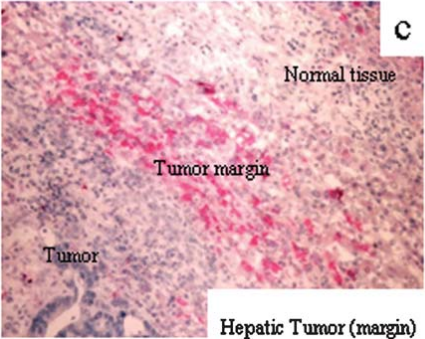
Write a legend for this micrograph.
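The tumour includes dark blue glandular epithelium with crowded nuclei. The margin is a diagonal band packed with cells stained intense red, mixed with many small blue nuclei. Beyond it the liver tissue is paler, with scattered small nuclei and few red cells.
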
